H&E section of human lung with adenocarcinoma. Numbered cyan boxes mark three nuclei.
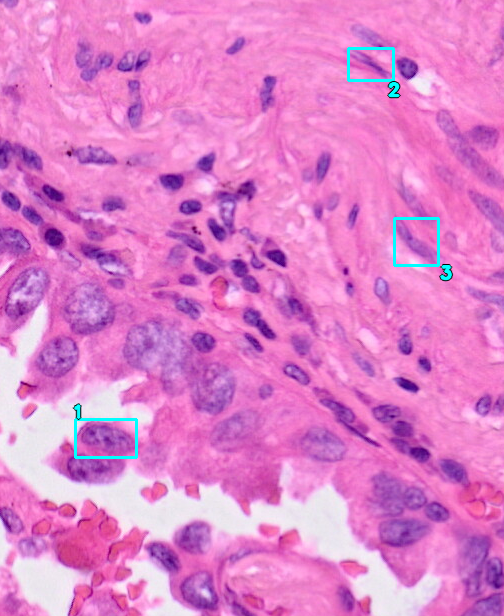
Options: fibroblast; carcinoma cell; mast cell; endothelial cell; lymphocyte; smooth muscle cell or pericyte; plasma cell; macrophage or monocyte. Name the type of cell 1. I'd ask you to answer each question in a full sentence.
The cell numbered 1 represents a carcinoma cell.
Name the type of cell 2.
The cell identified by number 2 is a smooth muscle cell or pericyte.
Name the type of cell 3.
The cell numbered 3 has been identified as a smooth muscle cell or pericyte.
